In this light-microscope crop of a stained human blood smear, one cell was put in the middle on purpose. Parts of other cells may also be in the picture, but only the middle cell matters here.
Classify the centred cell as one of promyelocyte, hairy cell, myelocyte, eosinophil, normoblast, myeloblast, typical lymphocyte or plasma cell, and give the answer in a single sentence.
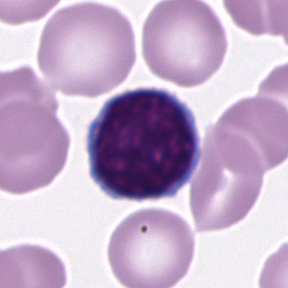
The centrally positioned cell in the crop represents a typical lymphocyte.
